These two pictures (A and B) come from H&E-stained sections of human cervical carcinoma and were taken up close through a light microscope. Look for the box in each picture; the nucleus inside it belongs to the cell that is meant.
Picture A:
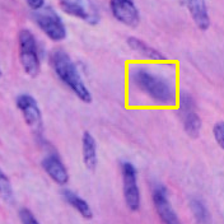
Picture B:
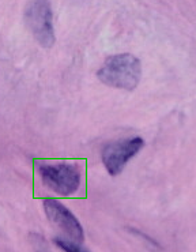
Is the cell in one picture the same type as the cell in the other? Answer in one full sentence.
Yes, both cells are fibroblasts.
